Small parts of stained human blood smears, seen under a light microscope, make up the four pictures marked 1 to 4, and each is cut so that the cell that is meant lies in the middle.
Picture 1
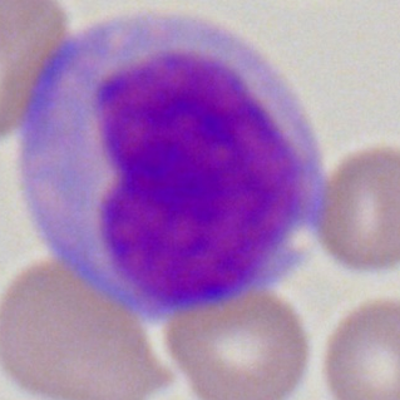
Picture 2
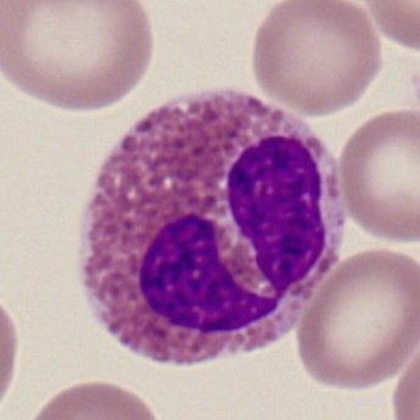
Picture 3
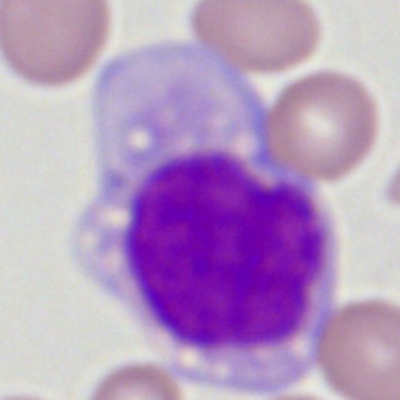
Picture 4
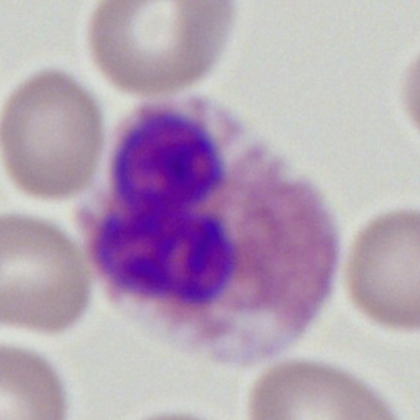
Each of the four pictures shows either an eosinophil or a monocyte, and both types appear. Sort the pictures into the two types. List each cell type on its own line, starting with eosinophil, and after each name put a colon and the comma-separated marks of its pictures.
eosinophil: 2, 4
monocyte: 1, 3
